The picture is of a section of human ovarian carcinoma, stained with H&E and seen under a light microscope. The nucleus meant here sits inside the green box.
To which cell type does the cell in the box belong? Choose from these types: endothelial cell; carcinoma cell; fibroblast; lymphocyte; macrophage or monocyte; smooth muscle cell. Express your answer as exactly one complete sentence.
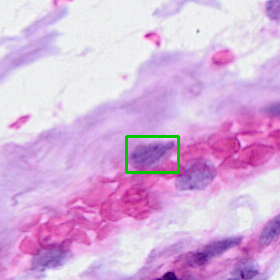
Within the stained tissue, the cell in the box is an endothelial cell.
